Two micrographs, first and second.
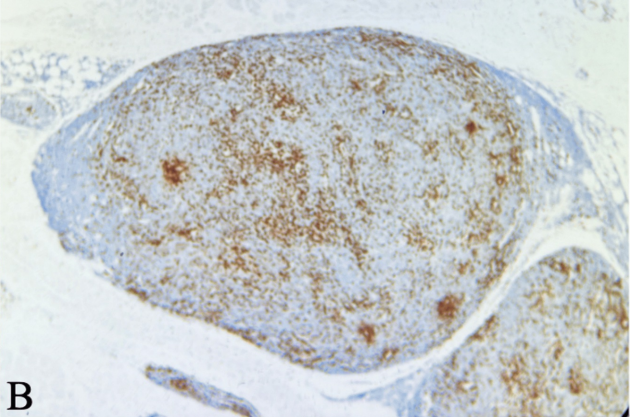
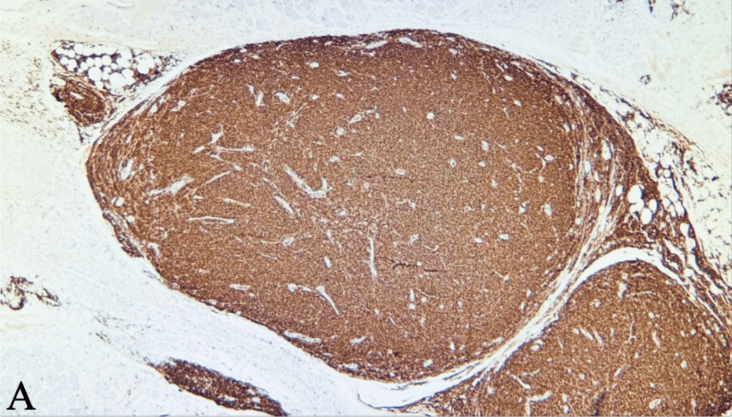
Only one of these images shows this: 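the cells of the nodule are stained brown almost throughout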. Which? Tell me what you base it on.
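The second image. First image: the nodule is mostly blue, with only scattered patchy brown foci. Second image: the nodule is uniformly dark brown, sparing only vessel lumina.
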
